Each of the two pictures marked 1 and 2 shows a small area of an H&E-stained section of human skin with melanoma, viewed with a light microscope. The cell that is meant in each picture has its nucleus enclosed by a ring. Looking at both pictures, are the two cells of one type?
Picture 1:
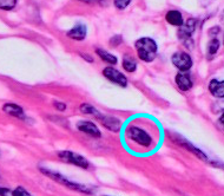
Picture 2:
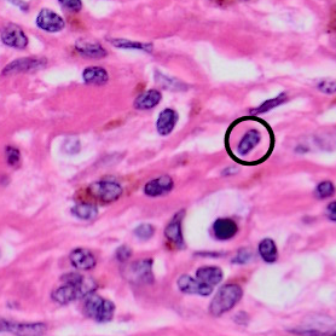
yes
